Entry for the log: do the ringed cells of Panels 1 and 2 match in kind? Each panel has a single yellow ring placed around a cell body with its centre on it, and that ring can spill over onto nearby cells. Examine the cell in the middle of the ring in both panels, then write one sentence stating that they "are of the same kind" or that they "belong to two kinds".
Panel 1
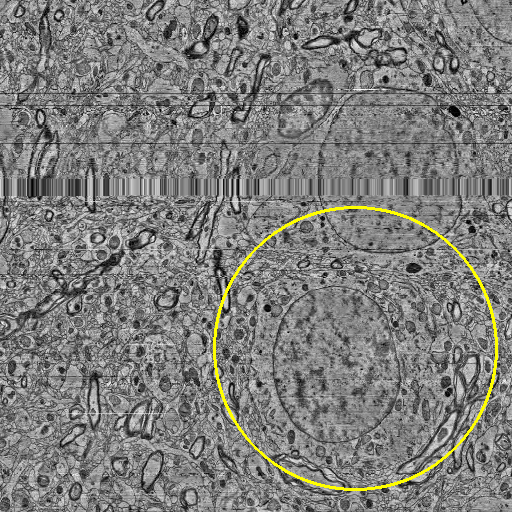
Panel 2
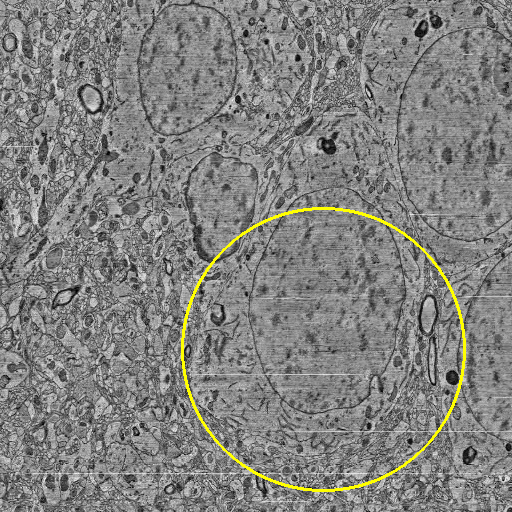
The centre cell of Panel 1's ring and that of Panel 2's ring belong to two kinds.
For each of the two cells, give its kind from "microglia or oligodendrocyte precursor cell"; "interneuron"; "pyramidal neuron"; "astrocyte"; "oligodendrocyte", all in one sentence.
The first picture has an interneuron in its ring, the second has a pyramidal neuron.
